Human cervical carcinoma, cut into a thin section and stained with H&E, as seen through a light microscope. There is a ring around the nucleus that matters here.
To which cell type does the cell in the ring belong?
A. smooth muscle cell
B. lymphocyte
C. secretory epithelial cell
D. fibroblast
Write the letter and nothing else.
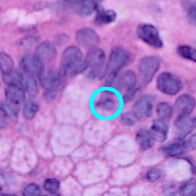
C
